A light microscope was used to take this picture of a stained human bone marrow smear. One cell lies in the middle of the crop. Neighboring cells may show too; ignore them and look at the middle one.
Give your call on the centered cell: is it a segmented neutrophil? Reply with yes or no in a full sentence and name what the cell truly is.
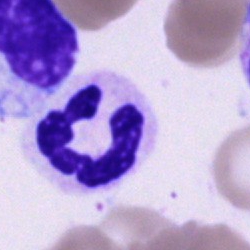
Yes, the central cell here is a segmented neutrophil.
